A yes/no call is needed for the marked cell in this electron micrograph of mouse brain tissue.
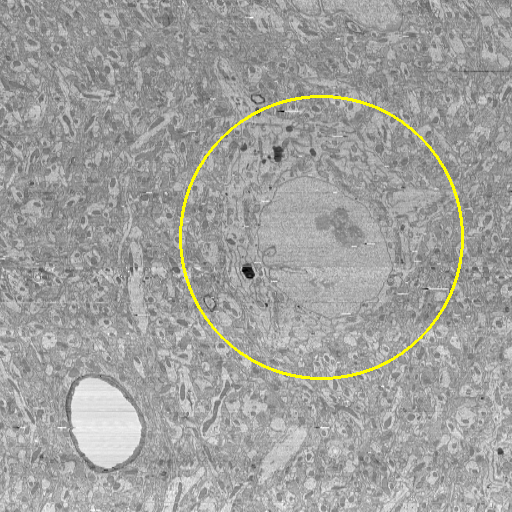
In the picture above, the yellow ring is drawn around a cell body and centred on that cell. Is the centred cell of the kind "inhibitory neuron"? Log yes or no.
yes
